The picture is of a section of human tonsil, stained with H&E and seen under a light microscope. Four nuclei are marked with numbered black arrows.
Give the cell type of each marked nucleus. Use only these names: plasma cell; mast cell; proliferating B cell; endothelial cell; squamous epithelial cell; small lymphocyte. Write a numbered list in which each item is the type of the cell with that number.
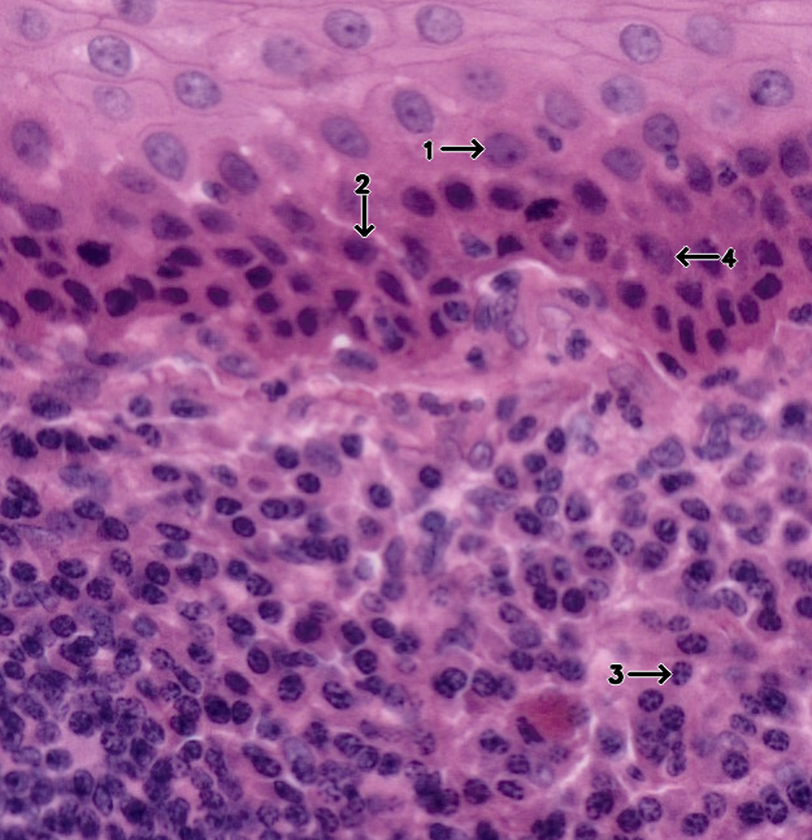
1. squamous epithelial cell
2. squamous epithelial cell
3. plasma cell
4. squamous epithelial cell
